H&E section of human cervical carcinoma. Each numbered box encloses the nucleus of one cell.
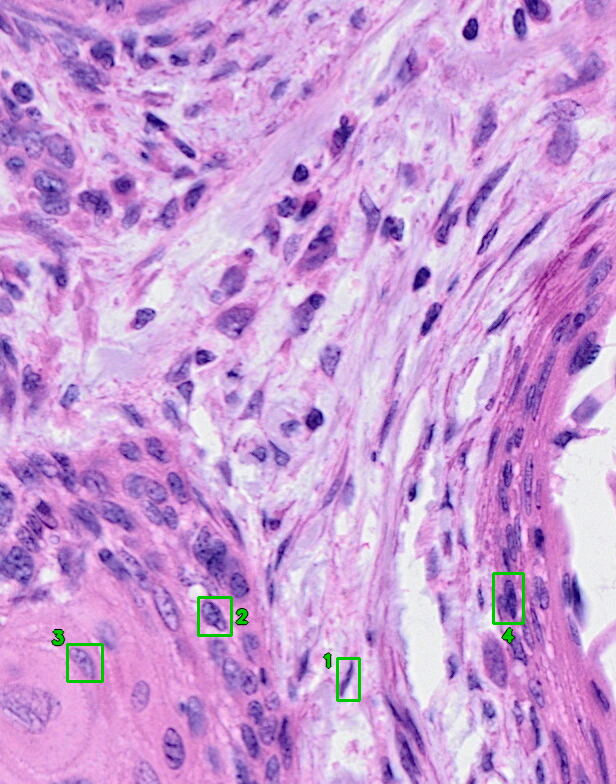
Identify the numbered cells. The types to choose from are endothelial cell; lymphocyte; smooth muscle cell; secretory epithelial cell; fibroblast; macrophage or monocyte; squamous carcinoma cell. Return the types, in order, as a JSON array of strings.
["fibroblast", "squamous carcinoma cell", "squamous carcinoma cell", "squamous carcinoma cell"]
